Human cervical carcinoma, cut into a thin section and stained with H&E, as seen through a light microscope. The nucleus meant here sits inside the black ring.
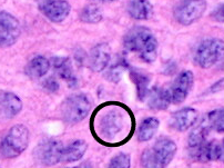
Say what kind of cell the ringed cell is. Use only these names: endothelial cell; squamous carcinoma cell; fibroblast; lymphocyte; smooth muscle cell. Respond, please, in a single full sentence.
Cytologically, the ringed cell is to be regarded as a squamous carcinoma cell.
